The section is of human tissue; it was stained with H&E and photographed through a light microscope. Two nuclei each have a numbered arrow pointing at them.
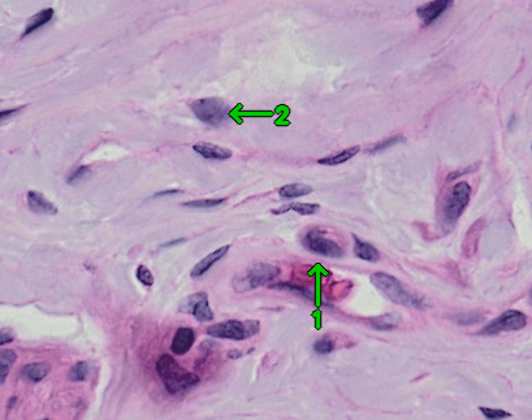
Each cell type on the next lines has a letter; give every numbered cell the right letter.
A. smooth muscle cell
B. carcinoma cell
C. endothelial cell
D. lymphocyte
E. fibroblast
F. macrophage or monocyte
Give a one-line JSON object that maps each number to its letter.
{"1": "C", "2": "E"}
